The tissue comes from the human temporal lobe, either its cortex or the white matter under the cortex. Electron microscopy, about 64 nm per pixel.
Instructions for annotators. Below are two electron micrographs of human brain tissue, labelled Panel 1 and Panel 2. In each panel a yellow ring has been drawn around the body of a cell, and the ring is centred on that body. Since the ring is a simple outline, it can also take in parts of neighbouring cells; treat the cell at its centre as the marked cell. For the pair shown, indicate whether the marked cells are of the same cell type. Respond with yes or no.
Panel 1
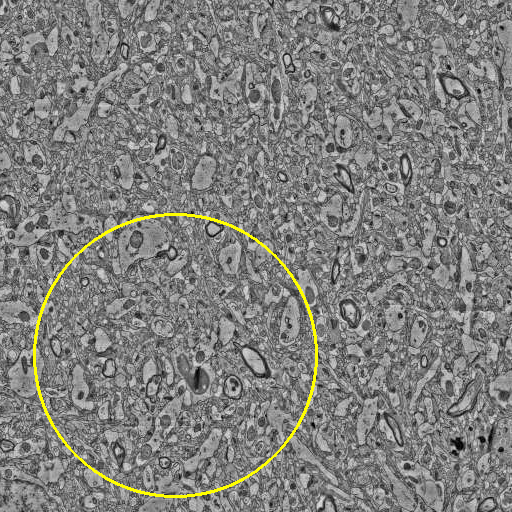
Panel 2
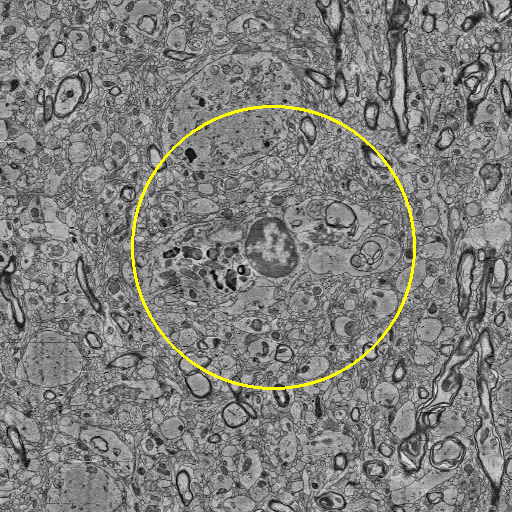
yes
